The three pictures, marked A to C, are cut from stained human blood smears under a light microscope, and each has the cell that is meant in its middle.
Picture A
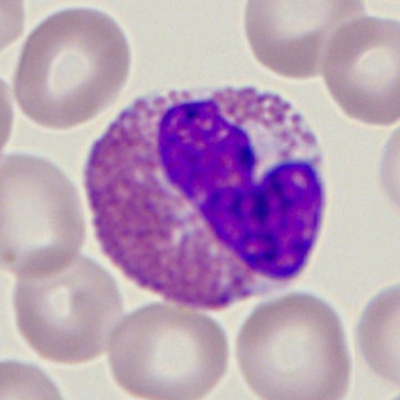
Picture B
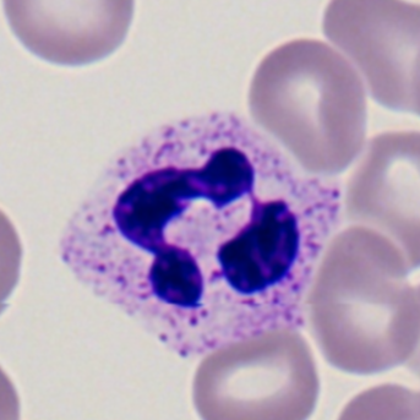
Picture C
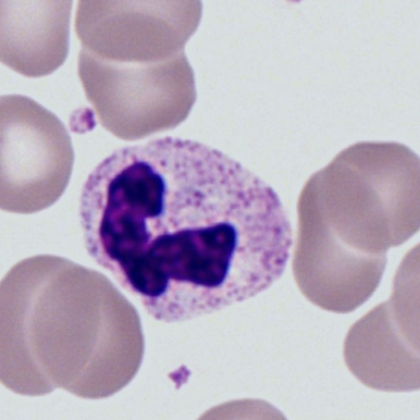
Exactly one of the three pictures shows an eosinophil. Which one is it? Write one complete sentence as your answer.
The cell in picture A is the eosinophil.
